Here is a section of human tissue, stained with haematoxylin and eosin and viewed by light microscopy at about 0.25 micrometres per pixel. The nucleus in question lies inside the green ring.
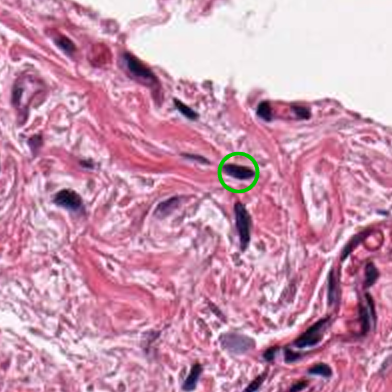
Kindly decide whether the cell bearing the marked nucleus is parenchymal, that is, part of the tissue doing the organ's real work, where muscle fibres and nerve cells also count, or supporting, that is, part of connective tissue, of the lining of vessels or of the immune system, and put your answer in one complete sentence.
The marked nucleus belongs to a supporting cell.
